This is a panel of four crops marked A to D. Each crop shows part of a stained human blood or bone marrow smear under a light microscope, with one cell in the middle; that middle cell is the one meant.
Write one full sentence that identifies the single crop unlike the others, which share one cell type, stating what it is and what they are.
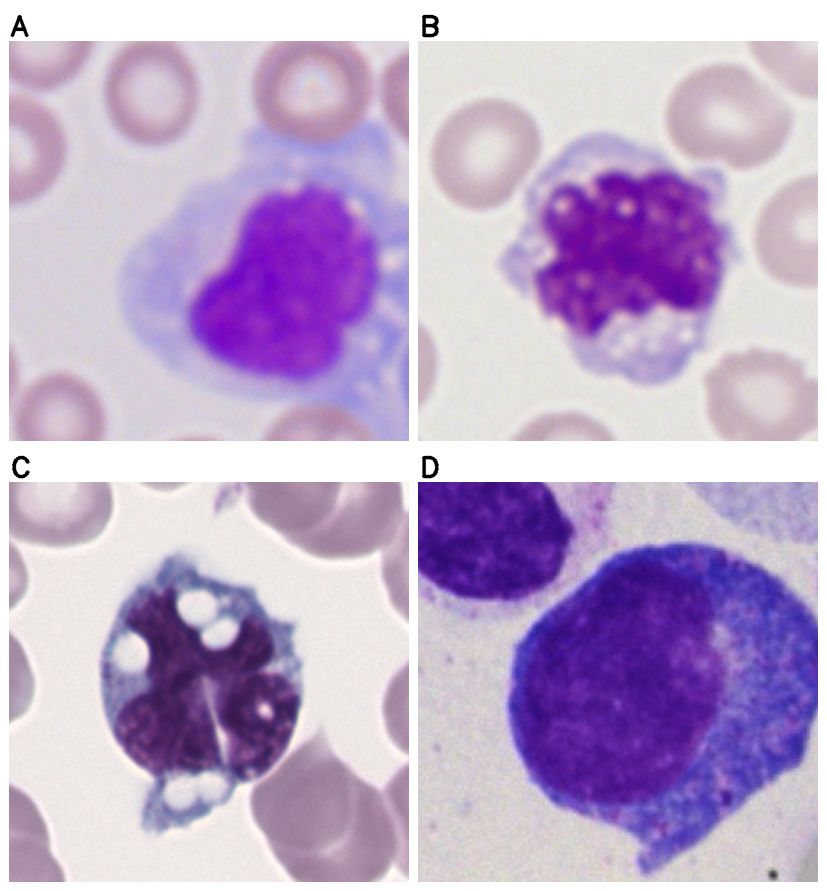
Found in all crops but one are monocytes; the exception, crop D, contains a blast.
